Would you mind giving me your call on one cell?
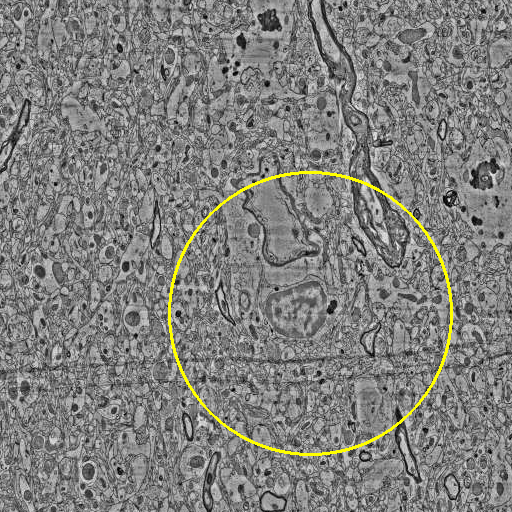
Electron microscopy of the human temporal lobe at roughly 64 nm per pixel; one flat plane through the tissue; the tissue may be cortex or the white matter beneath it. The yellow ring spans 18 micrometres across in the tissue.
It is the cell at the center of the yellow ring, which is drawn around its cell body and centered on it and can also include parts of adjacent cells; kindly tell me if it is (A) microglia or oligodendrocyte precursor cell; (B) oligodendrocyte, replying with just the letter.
A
